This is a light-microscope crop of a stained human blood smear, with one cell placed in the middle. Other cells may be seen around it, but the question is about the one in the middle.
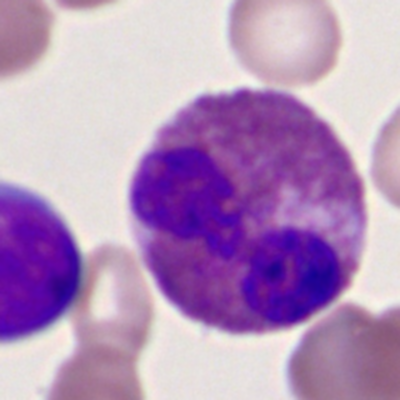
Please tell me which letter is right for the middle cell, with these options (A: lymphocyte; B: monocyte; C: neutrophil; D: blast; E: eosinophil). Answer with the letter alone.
E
